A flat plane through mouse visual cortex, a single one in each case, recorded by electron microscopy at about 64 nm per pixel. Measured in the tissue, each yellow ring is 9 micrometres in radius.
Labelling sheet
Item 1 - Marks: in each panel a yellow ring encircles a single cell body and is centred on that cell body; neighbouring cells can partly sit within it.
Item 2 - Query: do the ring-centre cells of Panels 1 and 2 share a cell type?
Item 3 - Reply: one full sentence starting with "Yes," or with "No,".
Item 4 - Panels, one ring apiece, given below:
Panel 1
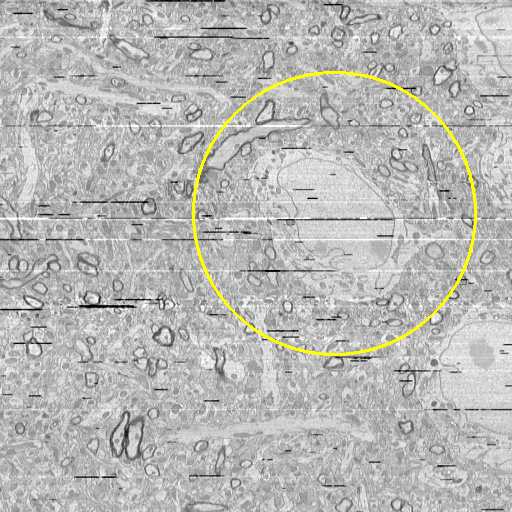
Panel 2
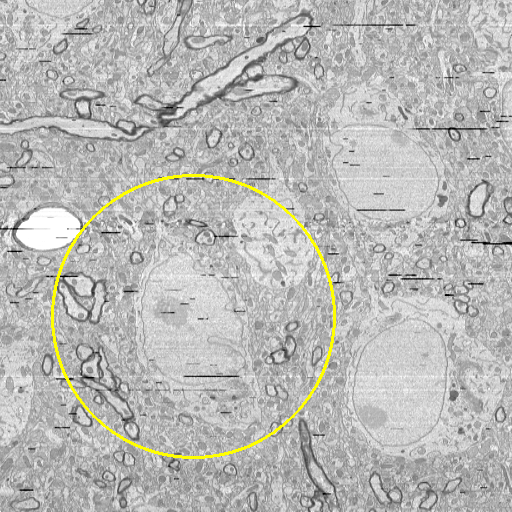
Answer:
No, Panel 1 and Panel 2 show two cell types at the centres of their rings.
